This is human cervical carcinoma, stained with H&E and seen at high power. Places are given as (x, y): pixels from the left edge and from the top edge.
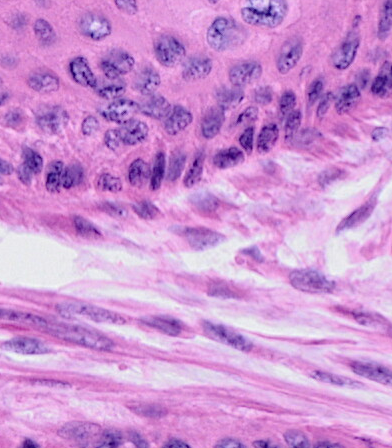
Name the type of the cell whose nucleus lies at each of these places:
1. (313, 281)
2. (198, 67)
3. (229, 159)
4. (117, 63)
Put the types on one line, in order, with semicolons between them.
fibroblast; squamous carcinoma cell; squamous carcinoma cell; squamous carcinoma cell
